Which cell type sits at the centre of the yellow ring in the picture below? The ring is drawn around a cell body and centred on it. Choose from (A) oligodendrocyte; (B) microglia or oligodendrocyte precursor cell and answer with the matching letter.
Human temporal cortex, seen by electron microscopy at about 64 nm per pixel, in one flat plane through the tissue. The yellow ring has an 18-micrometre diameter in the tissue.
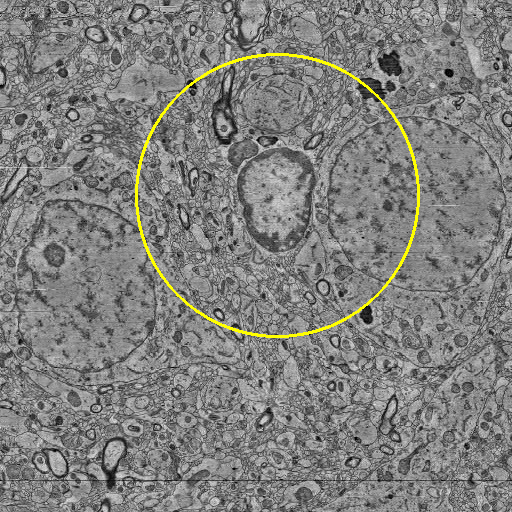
B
